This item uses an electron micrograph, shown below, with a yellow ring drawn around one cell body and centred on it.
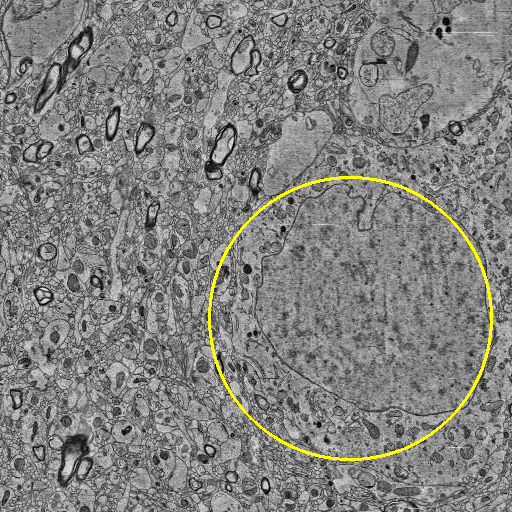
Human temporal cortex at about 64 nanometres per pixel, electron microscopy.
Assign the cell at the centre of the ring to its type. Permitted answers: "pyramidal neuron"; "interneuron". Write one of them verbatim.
pyramidal neuron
